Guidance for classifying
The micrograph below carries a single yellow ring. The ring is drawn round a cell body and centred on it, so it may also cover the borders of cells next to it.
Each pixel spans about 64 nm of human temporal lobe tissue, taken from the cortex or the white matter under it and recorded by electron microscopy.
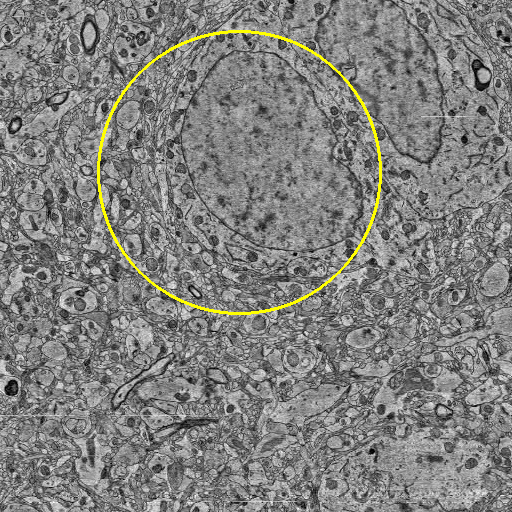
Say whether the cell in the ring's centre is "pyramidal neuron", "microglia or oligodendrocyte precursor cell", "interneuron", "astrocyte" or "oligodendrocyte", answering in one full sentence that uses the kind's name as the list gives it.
Within the yellow ring, a pyramidal neuron is the cell whose body sits at the centre.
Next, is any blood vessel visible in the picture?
No, none is visible.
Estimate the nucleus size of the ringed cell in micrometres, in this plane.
In this plane the nucleus is about 14 micrometres by 10.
